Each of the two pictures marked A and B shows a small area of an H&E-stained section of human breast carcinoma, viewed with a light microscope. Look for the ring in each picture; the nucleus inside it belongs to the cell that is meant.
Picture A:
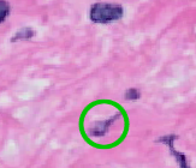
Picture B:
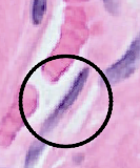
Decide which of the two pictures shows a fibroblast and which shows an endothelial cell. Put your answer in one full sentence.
In picture A the cell is a fibroblast; in picture B, an endothelial cell.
